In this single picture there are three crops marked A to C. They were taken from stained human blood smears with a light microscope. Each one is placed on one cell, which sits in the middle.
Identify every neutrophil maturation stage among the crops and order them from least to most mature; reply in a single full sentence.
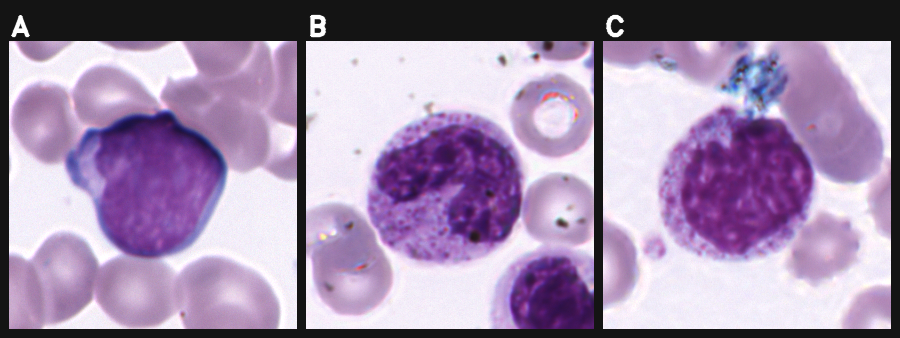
The order of maturity, lowest to highest, is crop A (a myeloblast), crop C (a metamyelocyte) and crop B (a band neutrophil).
